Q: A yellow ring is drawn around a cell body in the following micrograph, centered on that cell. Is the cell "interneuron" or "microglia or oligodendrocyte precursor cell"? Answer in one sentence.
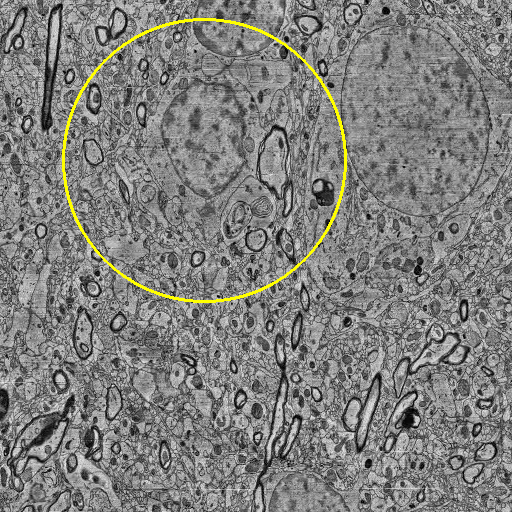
The cell in the center of the ring is an interneuron.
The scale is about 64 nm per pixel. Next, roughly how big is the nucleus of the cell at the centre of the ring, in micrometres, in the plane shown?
In this plane the nucleus measures roughly 8 by 5 micrometres.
